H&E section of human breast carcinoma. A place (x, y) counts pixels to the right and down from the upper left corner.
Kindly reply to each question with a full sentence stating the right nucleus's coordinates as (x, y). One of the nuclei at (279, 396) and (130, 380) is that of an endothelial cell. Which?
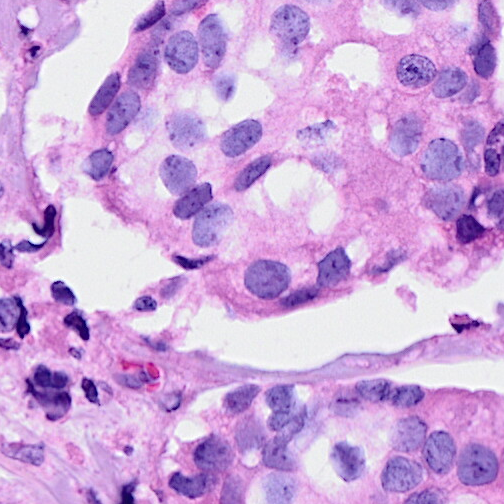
In this pair, the nucleus at (130, 380) belongs to an endothelial cell.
